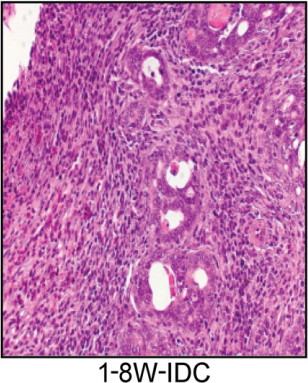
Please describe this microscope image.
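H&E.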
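This is mammary tissue replaced by a dense, solid mass of tumour cells. The cells are crowded in sheets, with purple oval to elongated nuclei and scant pinkish cytoplasm. Scattered through the mass are small gland-like spaces lined by epithelial cells, some with pink material inside. No fat tissue is left in the field, and the cells spread through the tissue without a clear boundary.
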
